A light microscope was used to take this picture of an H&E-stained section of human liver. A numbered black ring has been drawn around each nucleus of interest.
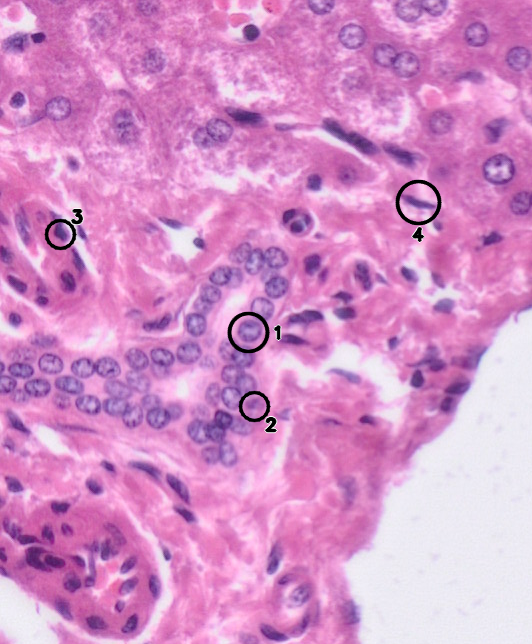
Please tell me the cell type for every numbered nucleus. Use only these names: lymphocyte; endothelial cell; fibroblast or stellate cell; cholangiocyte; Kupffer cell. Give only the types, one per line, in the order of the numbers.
cholangiocyte
cholangiocyte
fibroblast or stellate cell
fibroblast or stellate cell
